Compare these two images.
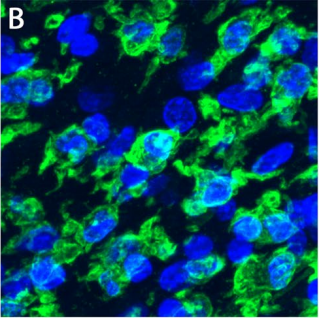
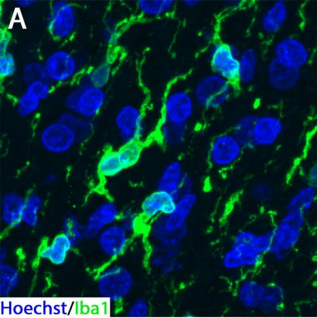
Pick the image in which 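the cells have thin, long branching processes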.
the second image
